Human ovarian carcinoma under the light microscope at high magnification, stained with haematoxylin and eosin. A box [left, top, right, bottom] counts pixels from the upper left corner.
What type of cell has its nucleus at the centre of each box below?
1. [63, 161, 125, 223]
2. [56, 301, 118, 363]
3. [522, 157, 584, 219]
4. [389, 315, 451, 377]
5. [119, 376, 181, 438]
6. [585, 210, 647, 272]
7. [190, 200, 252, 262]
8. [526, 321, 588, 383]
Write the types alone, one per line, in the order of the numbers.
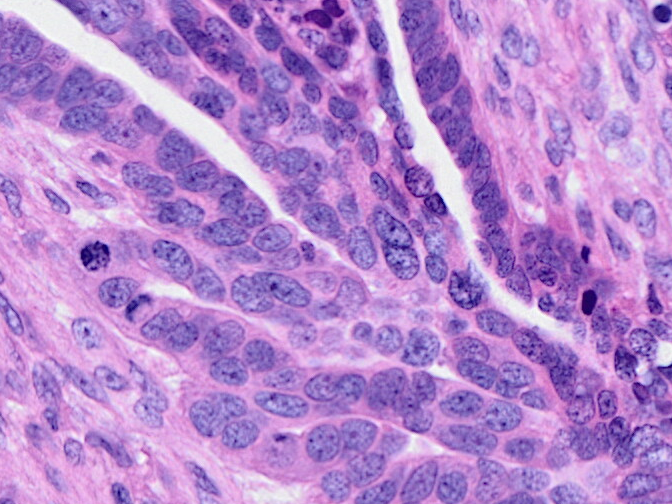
fibroblast
fibroblast
fibroblast
carcinoma cell
fibroblast
fibroblast
carcinoma cell
carcinoma cell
